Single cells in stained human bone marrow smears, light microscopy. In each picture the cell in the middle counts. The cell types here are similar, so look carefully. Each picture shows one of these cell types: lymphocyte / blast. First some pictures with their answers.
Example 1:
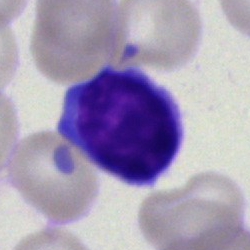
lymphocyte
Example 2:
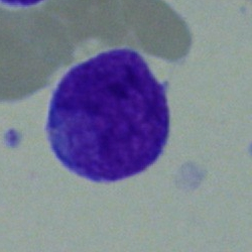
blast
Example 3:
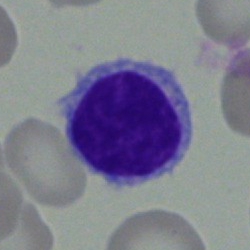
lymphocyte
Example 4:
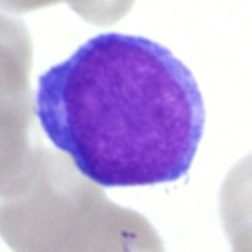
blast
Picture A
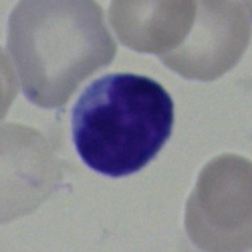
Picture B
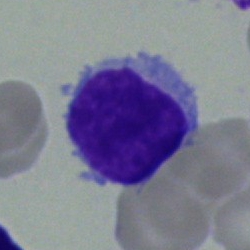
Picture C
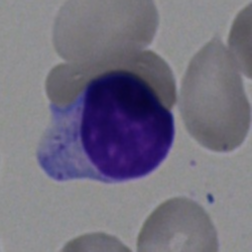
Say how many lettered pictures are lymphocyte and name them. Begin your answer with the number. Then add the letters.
Count: 3 (A, B, C)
